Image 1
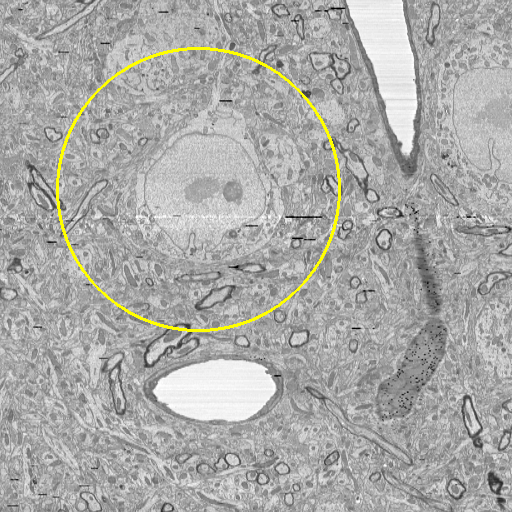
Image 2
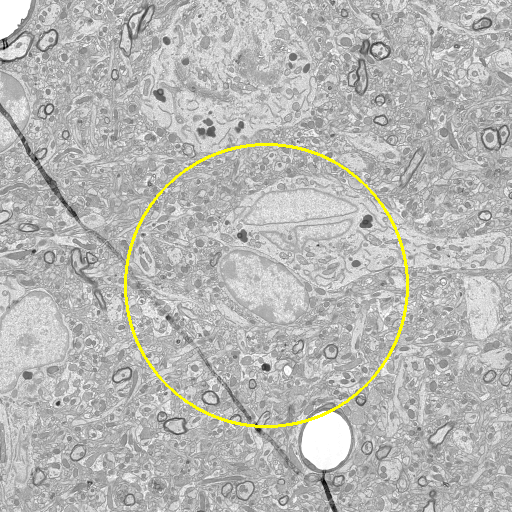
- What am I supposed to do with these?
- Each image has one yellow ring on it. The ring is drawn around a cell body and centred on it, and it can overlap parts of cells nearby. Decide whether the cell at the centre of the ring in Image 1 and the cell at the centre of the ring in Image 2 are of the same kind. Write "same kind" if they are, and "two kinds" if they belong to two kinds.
two kinds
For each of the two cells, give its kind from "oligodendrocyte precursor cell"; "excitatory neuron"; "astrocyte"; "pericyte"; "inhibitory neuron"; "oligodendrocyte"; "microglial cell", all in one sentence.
The first picture has an inhibitory neuron in its ring, the second has an oligodendrocyte.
